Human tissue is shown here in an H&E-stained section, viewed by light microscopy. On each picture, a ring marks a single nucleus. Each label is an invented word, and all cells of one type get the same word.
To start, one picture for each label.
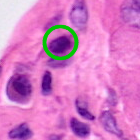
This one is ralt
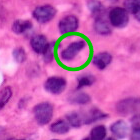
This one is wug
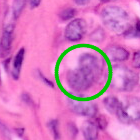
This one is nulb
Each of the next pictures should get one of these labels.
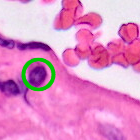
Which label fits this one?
ralt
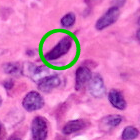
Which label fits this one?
ralt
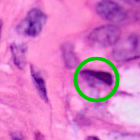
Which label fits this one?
nulb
